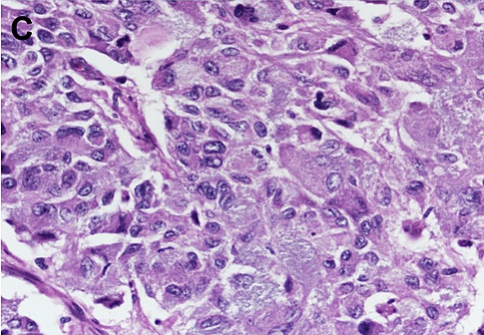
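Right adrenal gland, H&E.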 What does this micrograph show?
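High-power view of a tumor made of closely packed, large polygonal cells lying in sheets. The cells have ample pink cytoplasm and oval to round vesicular nuclei that vary in size and shape, many with distinct nucleoli, and a few nuclei are dark and irregular.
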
